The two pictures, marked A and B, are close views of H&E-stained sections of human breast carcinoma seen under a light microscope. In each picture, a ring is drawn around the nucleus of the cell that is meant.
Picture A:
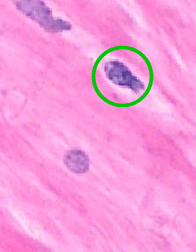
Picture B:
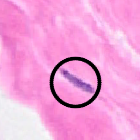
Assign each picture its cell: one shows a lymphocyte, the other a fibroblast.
A: lymphocyte
B: fibroblast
